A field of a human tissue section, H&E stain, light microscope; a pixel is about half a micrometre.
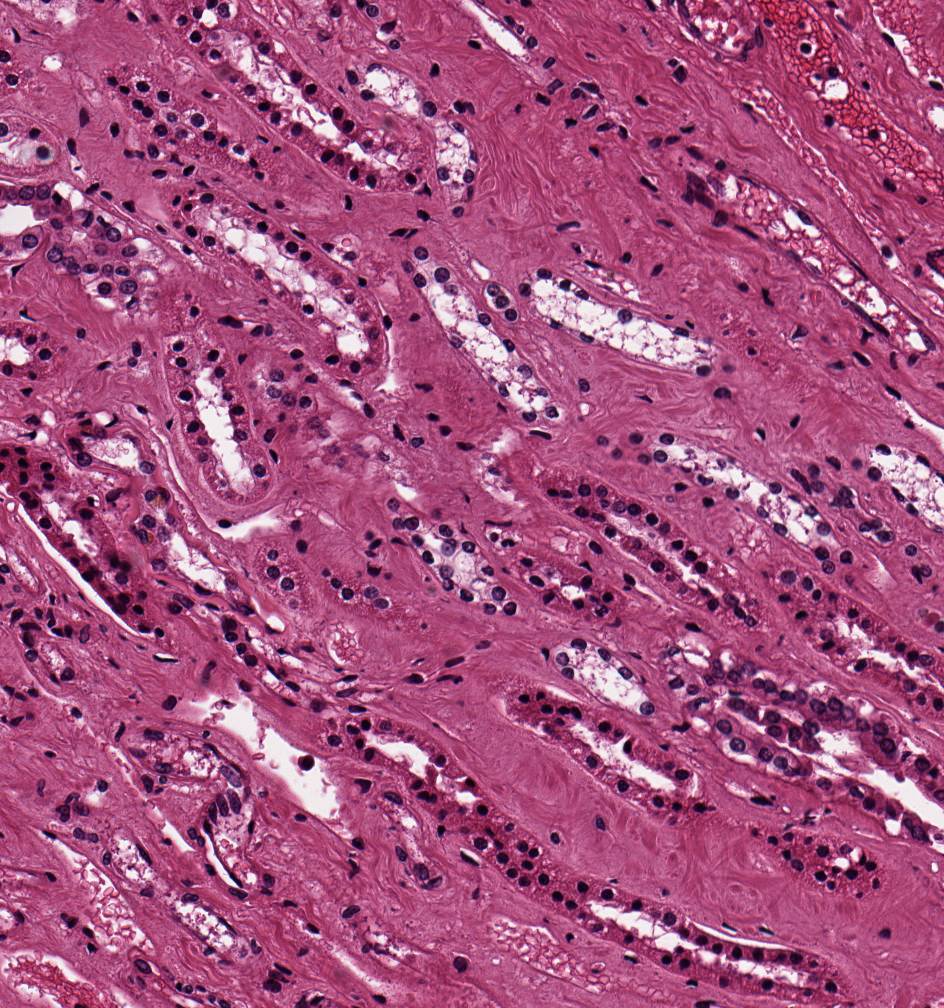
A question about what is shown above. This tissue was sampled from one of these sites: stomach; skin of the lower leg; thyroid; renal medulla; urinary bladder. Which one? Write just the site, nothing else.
renal medulla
